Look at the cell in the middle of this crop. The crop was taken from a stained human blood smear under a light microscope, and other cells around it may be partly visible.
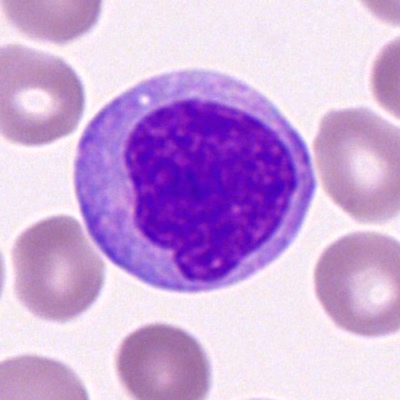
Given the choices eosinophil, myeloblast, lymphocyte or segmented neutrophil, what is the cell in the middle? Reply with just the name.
myeloblast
